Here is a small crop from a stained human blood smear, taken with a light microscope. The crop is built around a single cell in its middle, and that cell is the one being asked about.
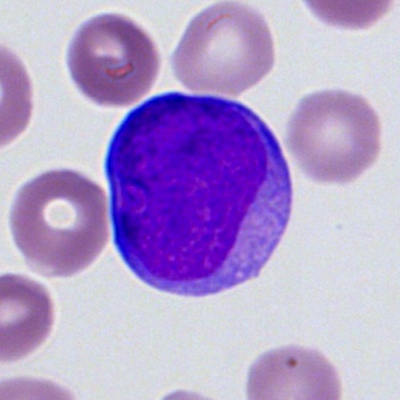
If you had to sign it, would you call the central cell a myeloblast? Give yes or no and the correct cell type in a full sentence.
Yes, in the middle of the crop is a myeloblast.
